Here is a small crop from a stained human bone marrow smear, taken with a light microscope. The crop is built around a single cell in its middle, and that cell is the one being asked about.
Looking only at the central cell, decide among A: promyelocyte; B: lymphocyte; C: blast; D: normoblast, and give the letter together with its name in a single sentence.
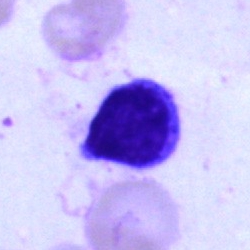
Option B holds, for the cell in the middle is a lymphocyte.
